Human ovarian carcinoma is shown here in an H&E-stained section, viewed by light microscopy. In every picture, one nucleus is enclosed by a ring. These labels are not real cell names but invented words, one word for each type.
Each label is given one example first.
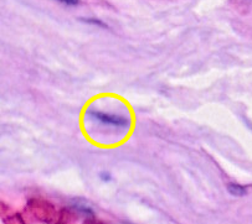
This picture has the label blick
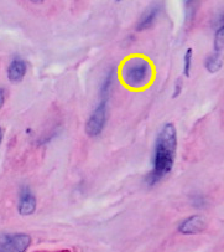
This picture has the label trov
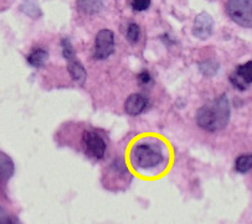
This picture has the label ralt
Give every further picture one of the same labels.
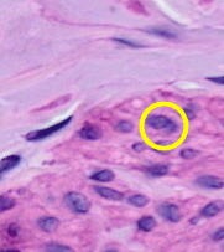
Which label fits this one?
trov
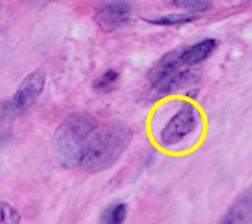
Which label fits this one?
ralt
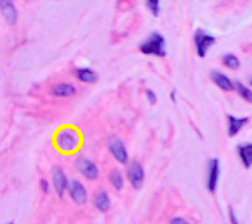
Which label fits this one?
trov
